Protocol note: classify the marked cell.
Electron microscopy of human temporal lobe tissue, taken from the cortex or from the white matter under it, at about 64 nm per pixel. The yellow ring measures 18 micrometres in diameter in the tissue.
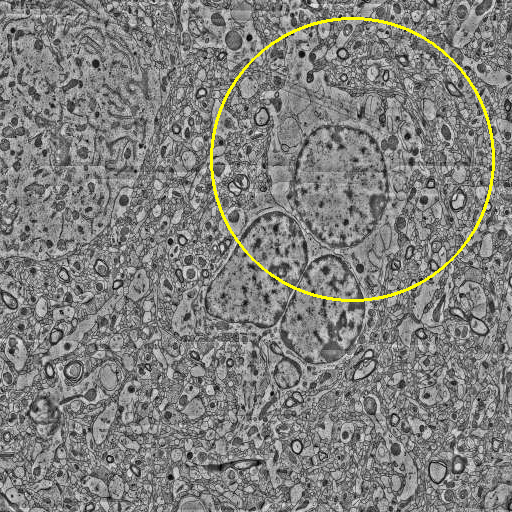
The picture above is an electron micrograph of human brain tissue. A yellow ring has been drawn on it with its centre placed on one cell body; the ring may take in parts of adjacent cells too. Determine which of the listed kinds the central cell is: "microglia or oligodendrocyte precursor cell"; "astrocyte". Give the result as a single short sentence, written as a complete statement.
The central cell is an astrocyte.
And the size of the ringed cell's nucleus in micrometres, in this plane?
Roughly 8 micrometres by 6 micrometres, in this plane.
